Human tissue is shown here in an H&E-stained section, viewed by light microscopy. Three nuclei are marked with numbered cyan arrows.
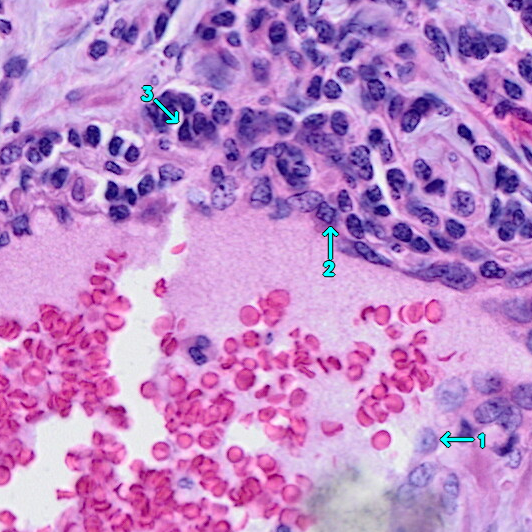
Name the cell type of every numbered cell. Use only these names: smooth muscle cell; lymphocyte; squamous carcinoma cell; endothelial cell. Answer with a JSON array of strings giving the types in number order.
["endothelial cell", "endothelial cell", "lymphocyte"]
